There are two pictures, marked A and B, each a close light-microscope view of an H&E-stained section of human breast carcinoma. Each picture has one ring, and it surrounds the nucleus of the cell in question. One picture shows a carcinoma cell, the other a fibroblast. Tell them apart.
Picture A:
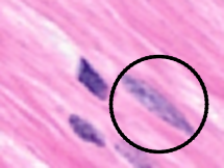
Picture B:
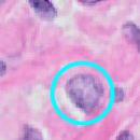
A: fibroblast
B: carcinoma cell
